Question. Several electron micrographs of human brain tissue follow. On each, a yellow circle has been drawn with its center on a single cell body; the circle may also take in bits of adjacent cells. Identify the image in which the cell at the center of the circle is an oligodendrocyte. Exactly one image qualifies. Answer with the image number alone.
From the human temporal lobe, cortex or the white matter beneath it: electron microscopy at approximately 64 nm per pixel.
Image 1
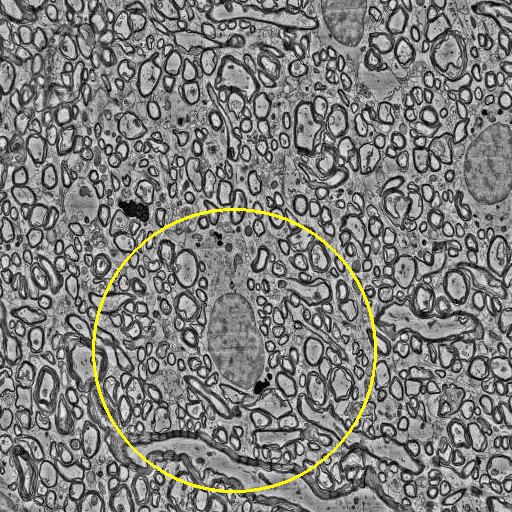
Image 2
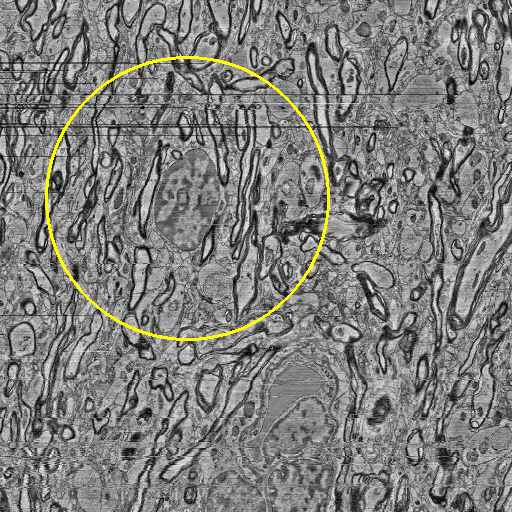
1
